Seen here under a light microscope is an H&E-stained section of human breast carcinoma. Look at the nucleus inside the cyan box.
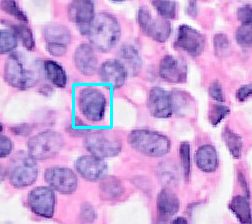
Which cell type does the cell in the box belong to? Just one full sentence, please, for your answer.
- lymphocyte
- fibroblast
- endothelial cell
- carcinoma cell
Assigned to a cell type, the cell in the box is a carcinoma cell.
